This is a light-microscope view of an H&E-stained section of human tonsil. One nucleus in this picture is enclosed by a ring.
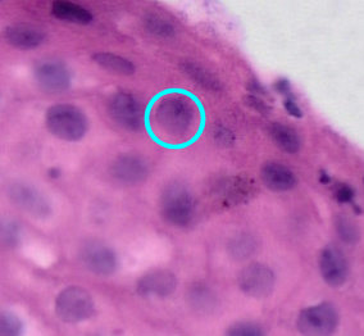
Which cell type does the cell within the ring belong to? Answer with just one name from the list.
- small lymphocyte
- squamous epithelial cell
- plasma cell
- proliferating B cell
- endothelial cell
squamous epithelial cell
